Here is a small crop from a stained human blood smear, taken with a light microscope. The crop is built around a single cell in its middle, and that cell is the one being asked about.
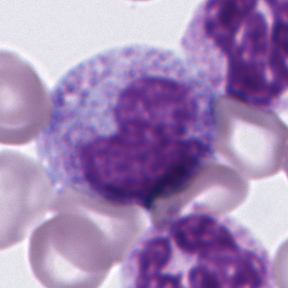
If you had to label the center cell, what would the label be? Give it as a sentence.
This particular crop is centered on a myelocyte.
